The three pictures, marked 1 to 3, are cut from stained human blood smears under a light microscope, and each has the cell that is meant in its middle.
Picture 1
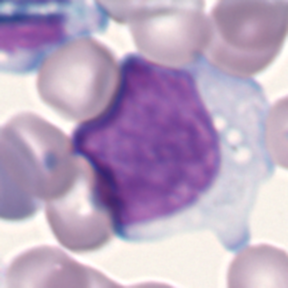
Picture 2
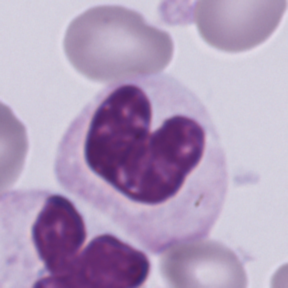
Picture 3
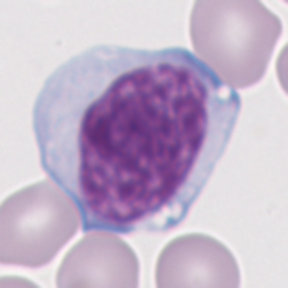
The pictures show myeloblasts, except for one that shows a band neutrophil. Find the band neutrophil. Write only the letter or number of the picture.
2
